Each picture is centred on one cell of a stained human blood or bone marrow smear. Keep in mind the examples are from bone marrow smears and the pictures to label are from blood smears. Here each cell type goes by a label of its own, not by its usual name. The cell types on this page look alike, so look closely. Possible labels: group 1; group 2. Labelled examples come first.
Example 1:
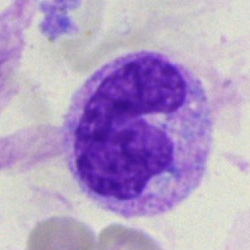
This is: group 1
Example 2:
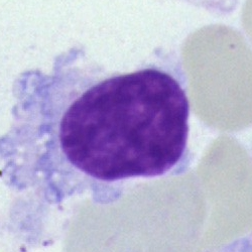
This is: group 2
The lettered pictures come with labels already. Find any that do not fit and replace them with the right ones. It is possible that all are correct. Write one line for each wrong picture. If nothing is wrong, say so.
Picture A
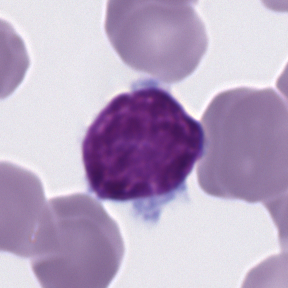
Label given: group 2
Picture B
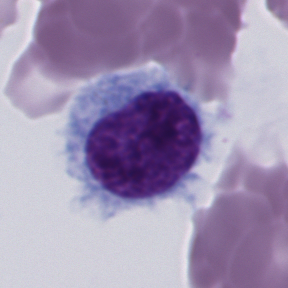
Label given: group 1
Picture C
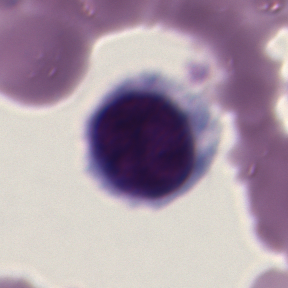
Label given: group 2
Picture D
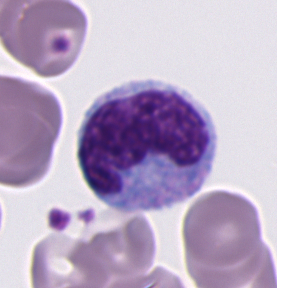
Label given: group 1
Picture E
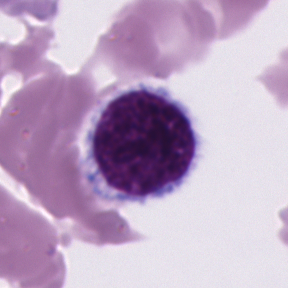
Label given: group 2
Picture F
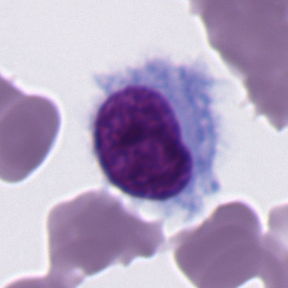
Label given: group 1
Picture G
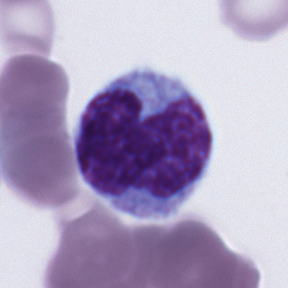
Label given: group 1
B: change group 1 to group 2
F: change group 1 to group 2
